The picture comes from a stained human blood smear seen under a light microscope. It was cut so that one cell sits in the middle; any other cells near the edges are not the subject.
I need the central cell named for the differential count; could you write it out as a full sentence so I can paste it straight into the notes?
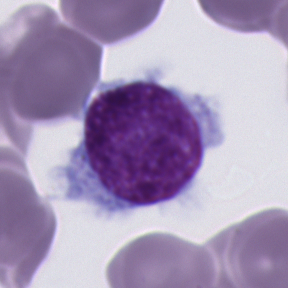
The cell in the middle of the field of view is a hairy cell.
